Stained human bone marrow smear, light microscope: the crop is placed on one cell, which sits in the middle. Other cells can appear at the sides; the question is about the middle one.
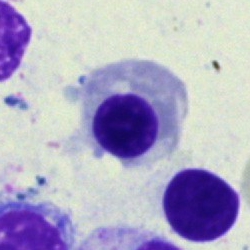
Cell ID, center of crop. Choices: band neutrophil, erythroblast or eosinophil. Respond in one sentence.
The cell the crop is centered on is an erythroblast.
